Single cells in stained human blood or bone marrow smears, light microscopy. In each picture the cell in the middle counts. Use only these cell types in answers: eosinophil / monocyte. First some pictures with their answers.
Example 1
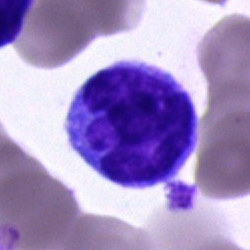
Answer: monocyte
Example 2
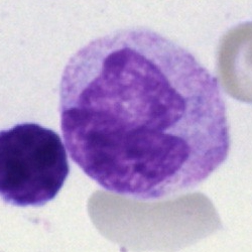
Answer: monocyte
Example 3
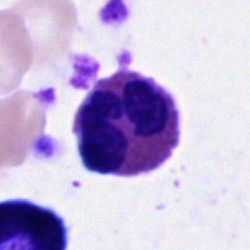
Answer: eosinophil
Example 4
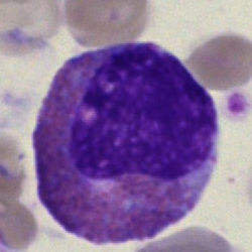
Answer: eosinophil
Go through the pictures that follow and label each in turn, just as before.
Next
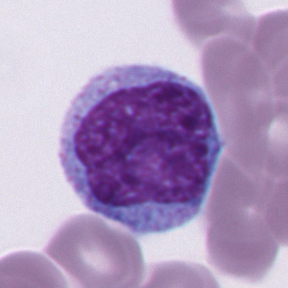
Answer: monocyte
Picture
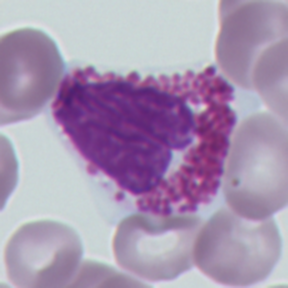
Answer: eosinophil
